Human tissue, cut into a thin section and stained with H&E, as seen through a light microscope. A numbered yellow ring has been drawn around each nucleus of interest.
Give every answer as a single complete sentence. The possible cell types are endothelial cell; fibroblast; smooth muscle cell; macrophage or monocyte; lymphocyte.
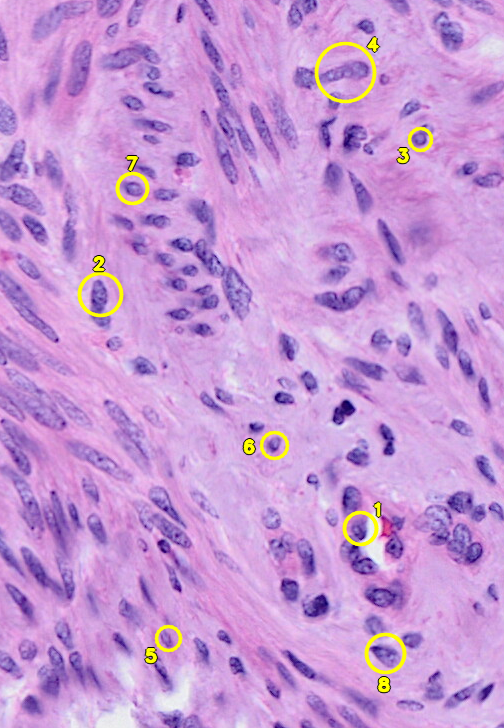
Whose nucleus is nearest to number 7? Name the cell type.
It is a smooth muscle cell whose nucleus is nearest to number 7.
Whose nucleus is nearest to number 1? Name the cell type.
Closest to number 1 lies the nucleus of an endothelial cell.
